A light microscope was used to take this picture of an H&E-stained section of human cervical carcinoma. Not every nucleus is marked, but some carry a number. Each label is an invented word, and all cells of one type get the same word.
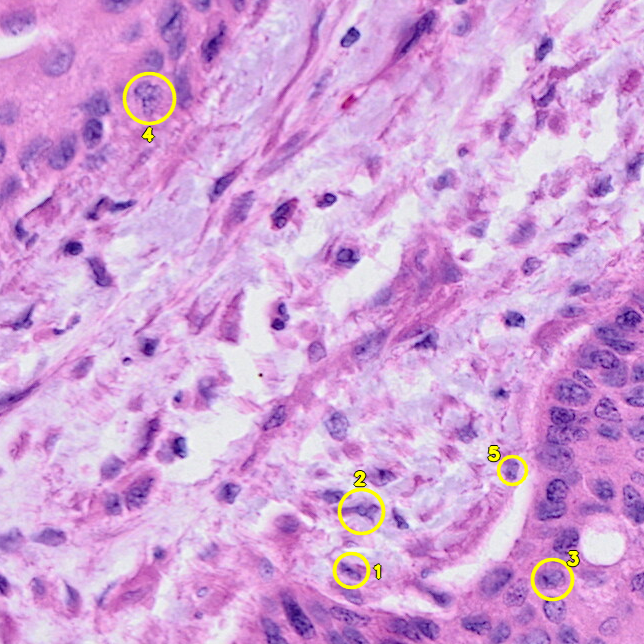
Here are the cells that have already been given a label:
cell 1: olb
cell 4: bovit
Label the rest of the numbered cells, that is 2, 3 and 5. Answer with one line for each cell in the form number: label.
2: olb
3: bovit
5: olb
